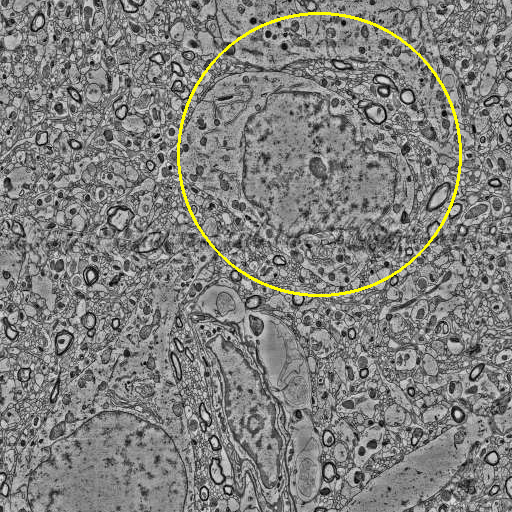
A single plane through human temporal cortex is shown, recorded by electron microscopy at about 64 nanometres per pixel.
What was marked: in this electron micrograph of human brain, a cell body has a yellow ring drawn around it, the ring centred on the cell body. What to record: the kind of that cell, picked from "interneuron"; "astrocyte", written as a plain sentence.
The centred cell is an interneuron.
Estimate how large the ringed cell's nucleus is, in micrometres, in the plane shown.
The nucleus of the ringed cell is approximately 11 by 9 micrometres in this plane.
